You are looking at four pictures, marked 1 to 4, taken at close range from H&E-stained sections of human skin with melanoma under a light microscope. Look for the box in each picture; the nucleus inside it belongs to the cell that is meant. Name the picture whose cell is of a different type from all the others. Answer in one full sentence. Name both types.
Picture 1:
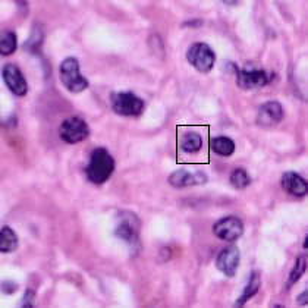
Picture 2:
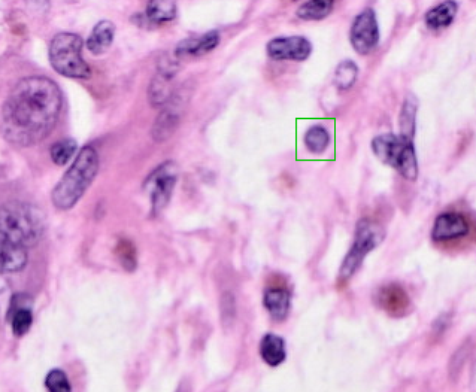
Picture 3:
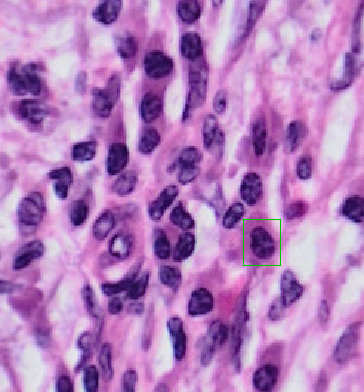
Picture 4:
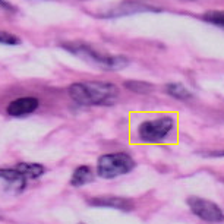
Picture 3 is the odd one out: it shows a plasma cell, while the others show lymphocytes.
